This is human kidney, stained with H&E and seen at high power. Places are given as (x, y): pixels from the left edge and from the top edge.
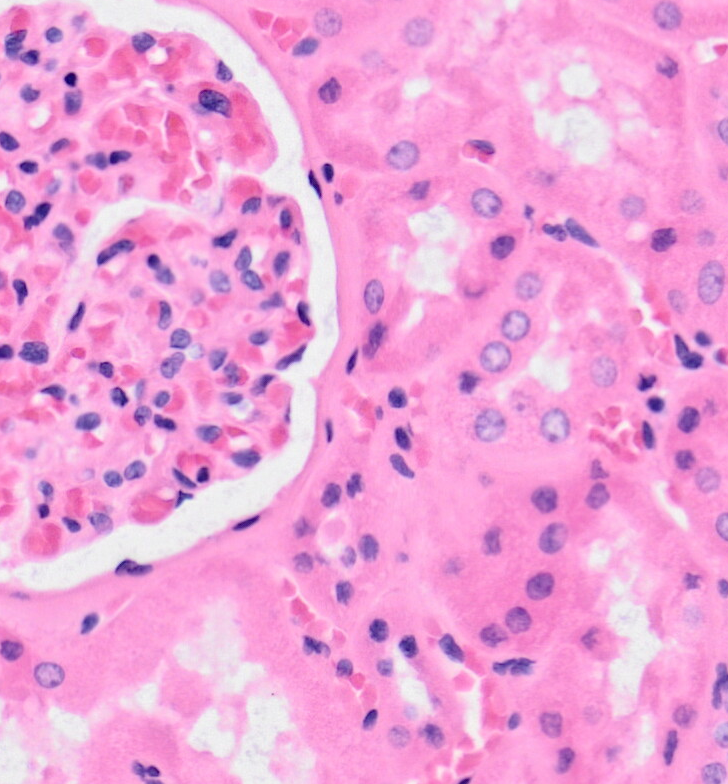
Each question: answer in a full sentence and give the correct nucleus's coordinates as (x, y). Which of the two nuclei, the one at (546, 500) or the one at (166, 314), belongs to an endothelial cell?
Of the two nuclei, the one at (166, 314) belongs to an endothelial cell.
